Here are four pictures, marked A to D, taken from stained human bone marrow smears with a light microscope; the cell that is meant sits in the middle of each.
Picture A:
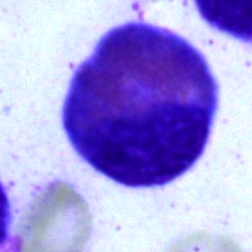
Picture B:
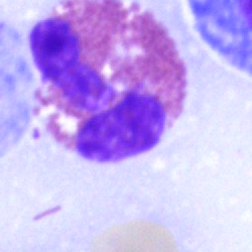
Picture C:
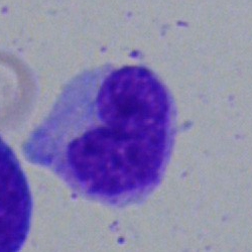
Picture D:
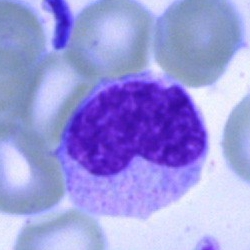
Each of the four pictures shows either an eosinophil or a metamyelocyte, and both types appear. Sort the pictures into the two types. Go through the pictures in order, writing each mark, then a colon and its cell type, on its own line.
A: eosinophil
B: eosinophil
C: metamyelocyte
D: metamyelocyte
